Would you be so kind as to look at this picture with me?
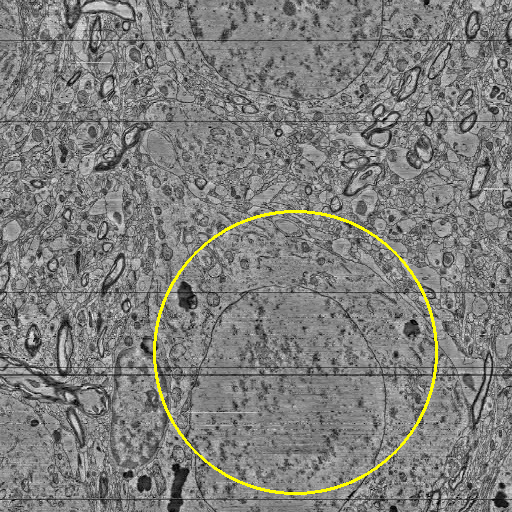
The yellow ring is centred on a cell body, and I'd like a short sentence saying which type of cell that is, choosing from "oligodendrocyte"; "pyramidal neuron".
The cell body in the ring belongs to a pyramidal neuron.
